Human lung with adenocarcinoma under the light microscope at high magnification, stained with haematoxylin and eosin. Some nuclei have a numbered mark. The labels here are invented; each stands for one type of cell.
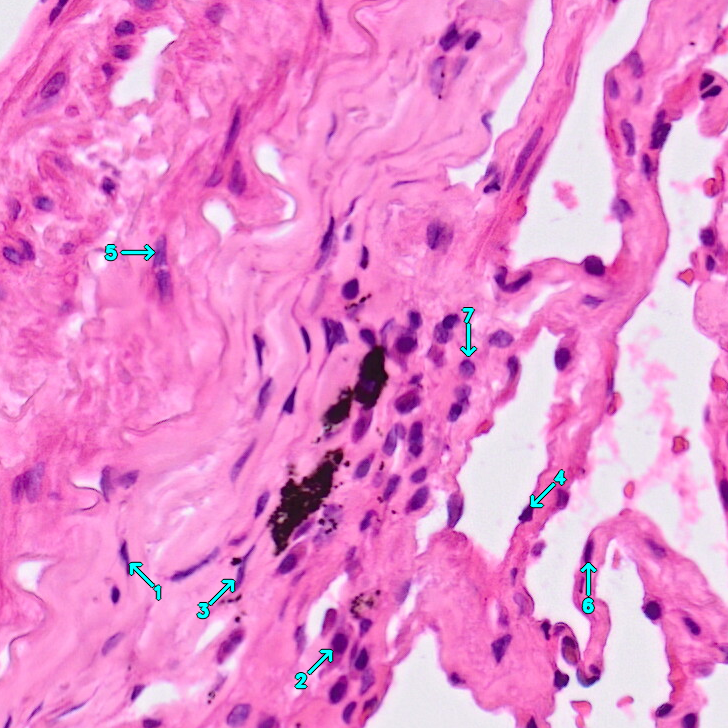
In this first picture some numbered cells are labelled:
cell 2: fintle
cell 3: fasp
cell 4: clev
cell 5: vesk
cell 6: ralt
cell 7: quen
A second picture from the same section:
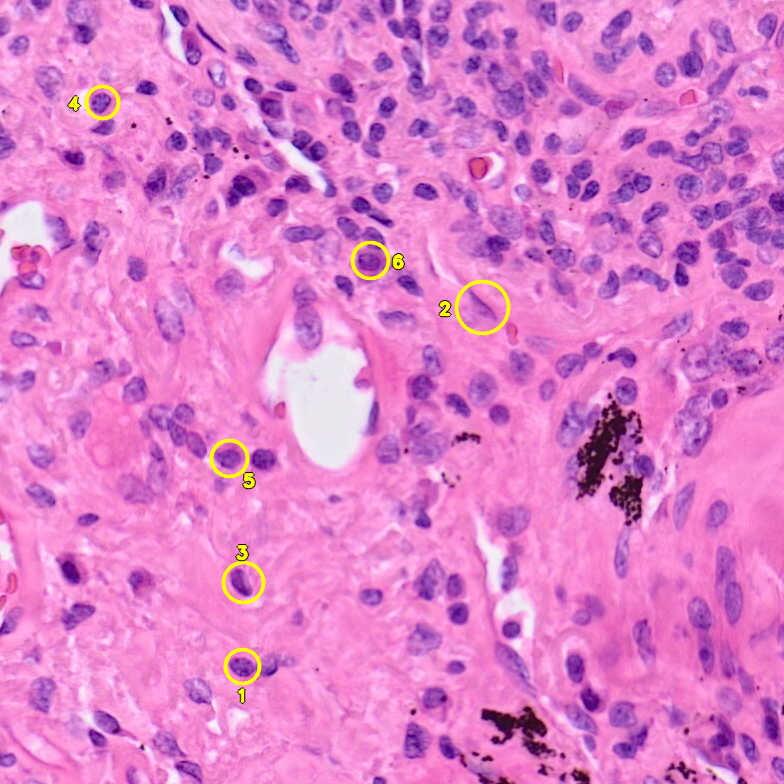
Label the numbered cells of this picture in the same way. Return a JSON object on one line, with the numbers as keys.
{"1": "quen", "2": "ralt", "3": "fasp", "4": "quen", "5": "fintle", "6": "fintle"}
